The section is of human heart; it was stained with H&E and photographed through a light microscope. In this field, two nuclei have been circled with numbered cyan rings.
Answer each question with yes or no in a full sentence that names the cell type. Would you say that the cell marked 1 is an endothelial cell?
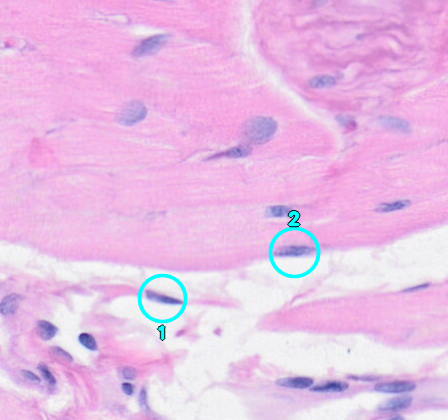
No, cell 1 is a fibroblast, not an endothelial cell.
